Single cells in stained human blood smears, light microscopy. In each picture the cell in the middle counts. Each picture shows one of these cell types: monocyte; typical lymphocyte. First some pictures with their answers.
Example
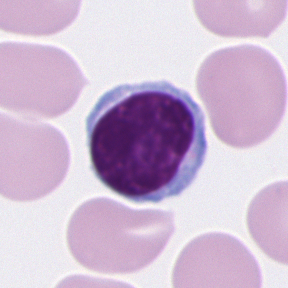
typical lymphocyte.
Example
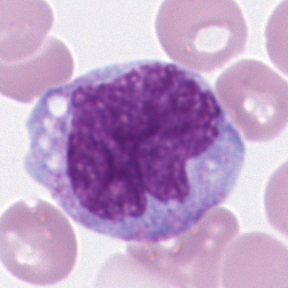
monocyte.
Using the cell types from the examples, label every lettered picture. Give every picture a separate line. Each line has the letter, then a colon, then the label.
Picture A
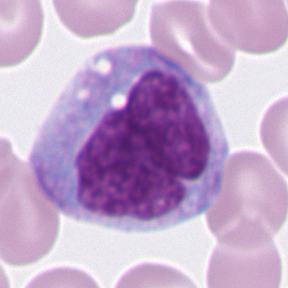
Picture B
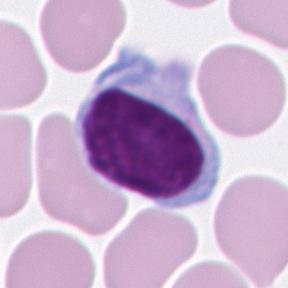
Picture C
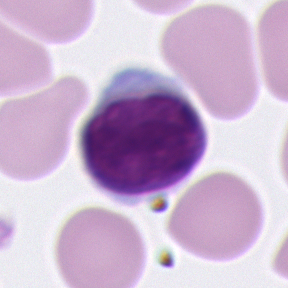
A: monocyte.
B: typical lymphocyte.
C: typical lymphocyte.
